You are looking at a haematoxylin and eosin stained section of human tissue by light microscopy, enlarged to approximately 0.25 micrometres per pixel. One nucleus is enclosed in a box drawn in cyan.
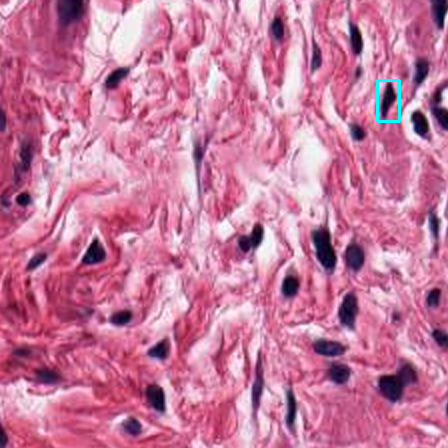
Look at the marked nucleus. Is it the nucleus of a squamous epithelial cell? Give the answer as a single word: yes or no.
no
